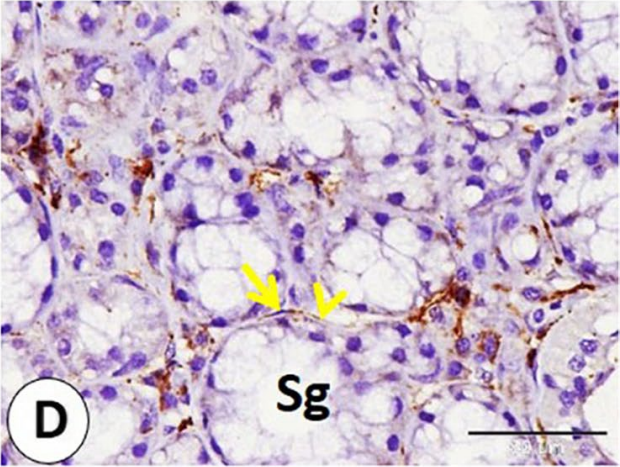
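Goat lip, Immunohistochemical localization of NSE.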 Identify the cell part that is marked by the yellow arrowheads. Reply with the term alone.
telopods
